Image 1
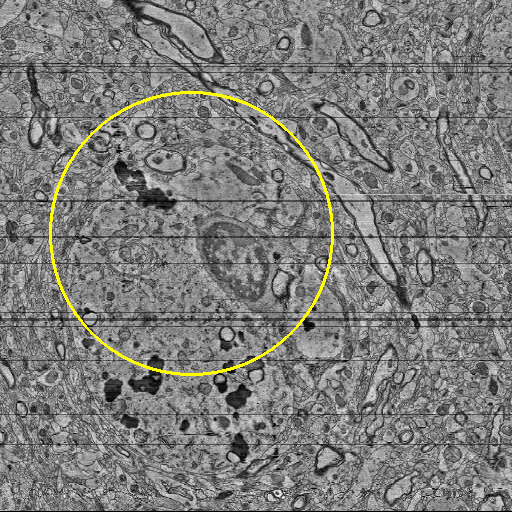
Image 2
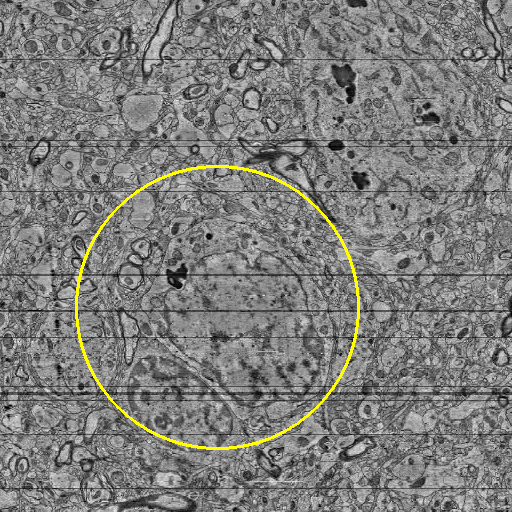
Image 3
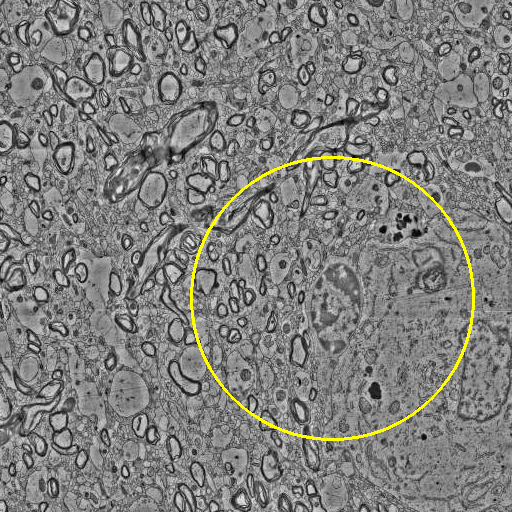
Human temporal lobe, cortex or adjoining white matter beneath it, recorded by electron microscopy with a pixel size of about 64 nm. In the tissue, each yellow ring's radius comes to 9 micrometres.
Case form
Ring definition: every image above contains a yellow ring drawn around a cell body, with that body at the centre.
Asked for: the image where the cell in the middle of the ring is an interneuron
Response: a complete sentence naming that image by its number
Image 2 is the one.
